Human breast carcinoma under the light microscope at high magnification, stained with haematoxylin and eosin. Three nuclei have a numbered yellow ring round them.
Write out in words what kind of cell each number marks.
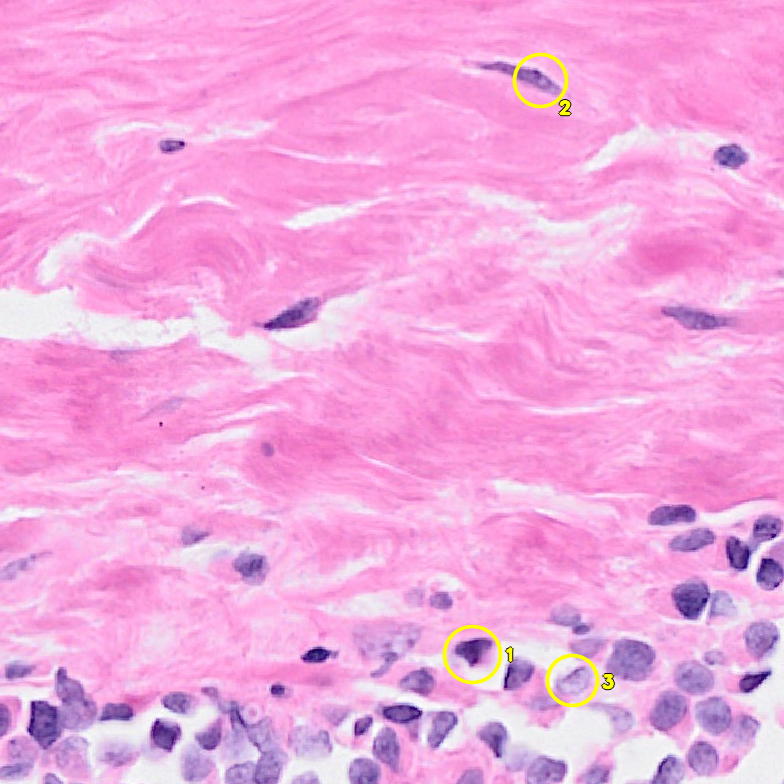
Cells 1 and 3 are carcinoma cells. Cell 2 is a fibroblast.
